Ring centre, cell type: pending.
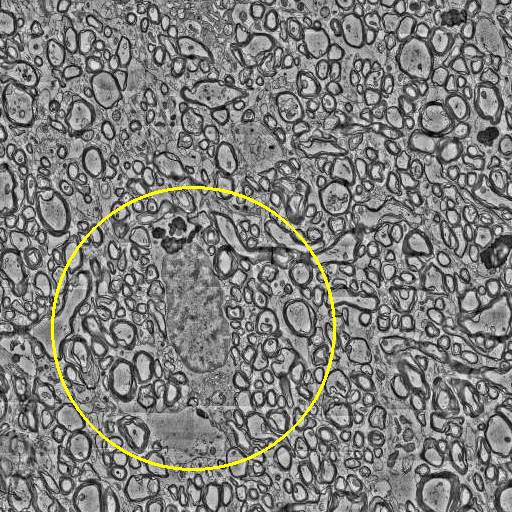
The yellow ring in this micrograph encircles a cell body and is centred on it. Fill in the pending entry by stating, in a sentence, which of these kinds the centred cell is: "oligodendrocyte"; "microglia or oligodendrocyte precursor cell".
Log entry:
The centred cell is recorded as an oligodendrocyte.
